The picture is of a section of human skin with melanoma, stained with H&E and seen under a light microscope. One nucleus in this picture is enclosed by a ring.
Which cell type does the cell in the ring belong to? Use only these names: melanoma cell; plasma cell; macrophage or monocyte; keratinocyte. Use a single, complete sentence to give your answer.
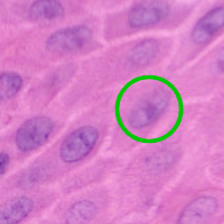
The cell type of the cell in the ring is that of a keratinocyte.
